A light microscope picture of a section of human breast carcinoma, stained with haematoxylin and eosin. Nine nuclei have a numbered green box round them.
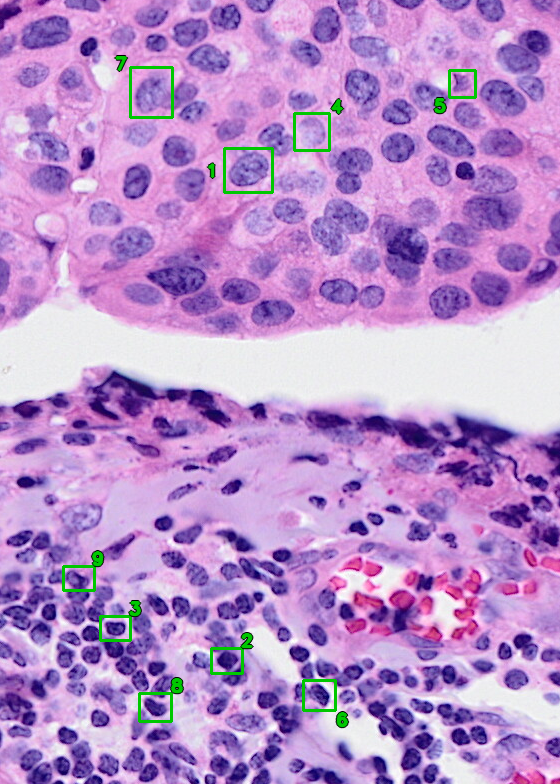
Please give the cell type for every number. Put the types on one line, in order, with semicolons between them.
carcinoma cell; lymphocyte; lymphocyte; carcinoma cell; carcinoma cell; lymphocyte; carcinoma cell; lymphocyte; lymphocyte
